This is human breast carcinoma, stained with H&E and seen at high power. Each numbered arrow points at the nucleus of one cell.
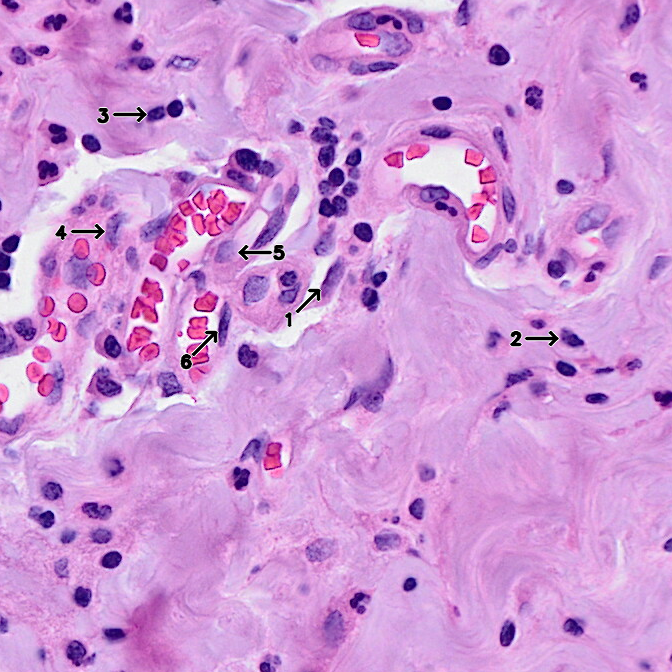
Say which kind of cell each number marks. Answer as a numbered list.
1. fibroblast
2. lymphocyte
3. lymphocyte
4. endothelial cell
5. endothelial cell
6. endothelial cell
